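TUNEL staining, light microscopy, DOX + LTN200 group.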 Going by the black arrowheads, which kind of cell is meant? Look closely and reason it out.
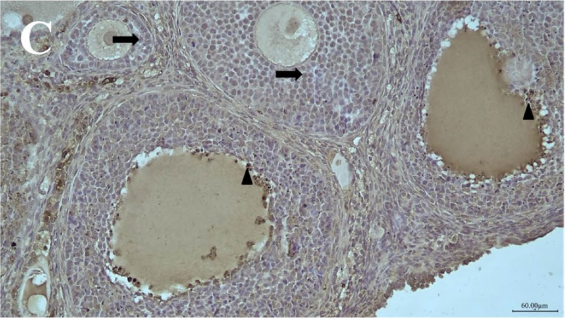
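Ovarian follicle epithelial cell. The arrowheads point to the inner edge of large follicles with a fluid-filled cavity. Small dark-brown rounded cells and fragments lie along the cavity margin.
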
